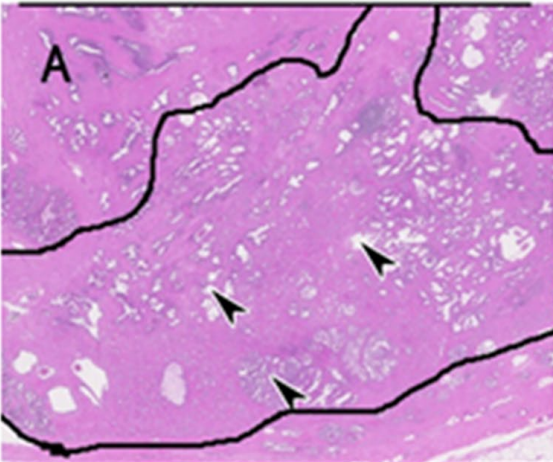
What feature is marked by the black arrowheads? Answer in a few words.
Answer: Benign glands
